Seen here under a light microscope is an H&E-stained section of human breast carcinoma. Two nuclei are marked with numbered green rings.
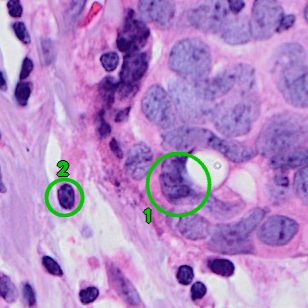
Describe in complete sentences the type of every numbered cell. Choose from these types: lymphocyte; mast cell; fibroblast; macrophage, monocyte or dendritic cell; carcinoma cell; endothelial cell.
Cell 1 is a carcinoma cell. Cell 2 is a lymphocyte.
